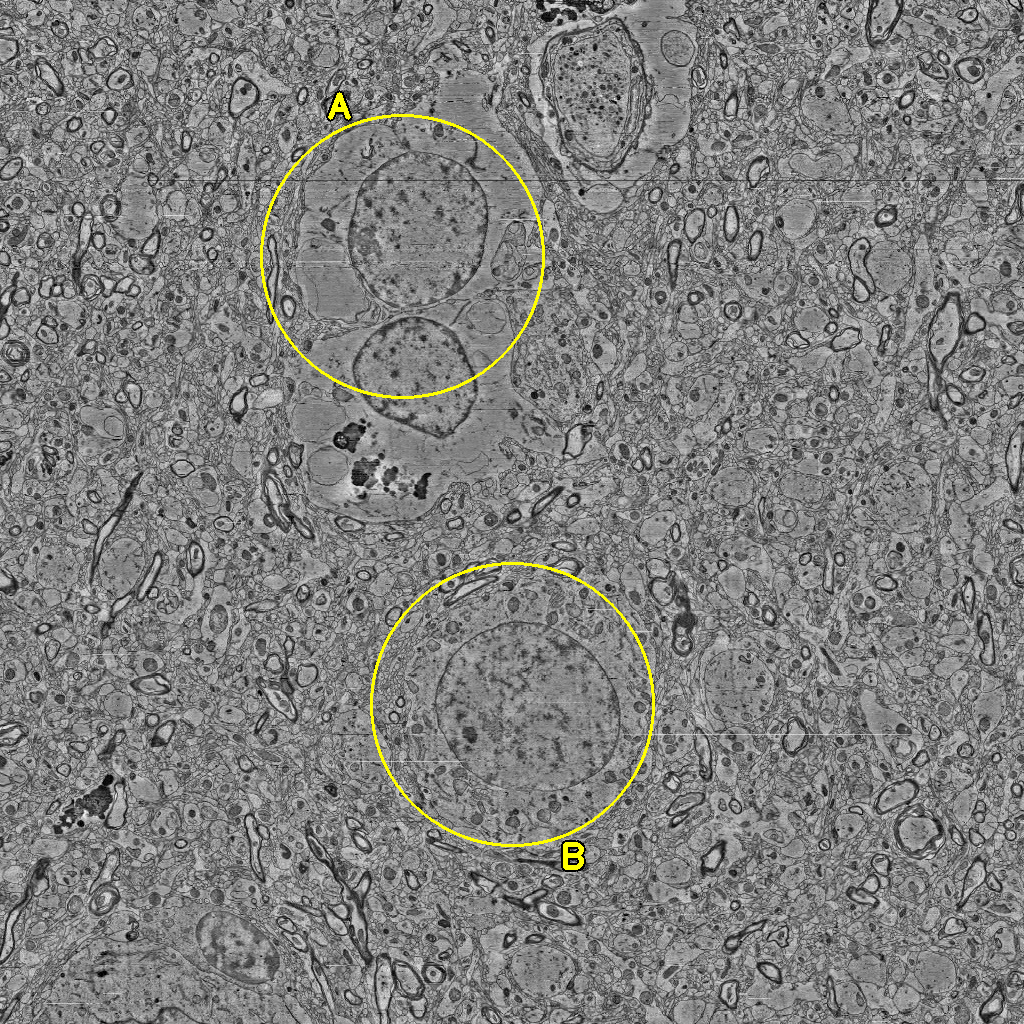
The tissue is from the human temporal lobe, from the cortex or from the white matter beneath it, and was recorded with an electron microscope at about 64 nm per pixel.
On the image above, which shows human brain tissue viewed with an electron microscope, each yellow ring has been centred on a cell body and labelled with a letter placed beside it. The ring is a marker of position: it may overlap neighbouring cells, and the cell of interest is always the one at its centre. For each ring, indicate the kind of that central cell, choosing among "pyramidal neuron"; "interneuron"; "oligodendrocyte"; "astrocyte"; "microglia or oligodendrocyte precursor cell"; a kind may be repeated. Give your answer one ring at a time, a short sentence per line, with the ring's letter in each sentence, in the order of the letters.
Ring A shows an astrocyte at its centre.
Ring B shows an interneuron at its centre.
